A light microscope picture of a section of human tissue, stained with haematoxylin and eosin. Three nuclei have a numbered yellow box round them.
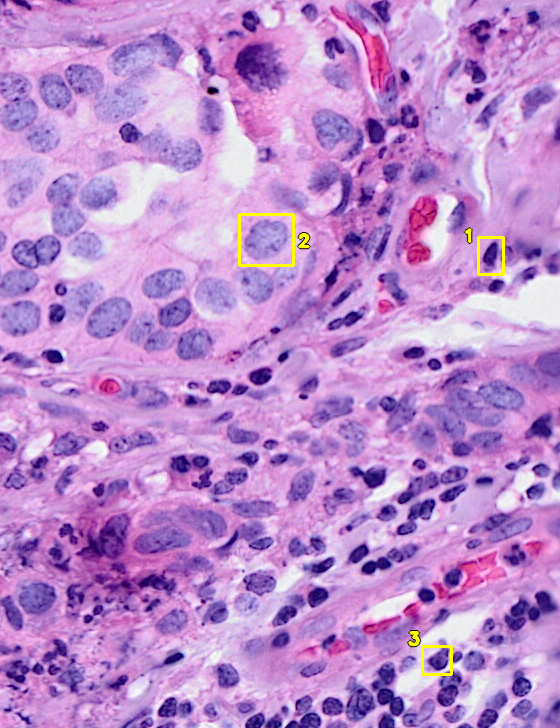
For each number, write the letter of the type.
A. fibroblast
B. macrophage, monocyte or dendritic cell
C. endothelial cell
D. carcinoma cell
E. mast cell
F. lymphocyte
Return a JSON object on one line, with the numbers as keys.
{"1": "F", "2": "D", "3": "F"}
